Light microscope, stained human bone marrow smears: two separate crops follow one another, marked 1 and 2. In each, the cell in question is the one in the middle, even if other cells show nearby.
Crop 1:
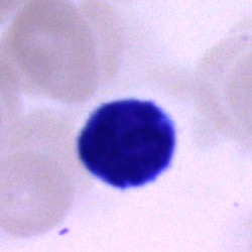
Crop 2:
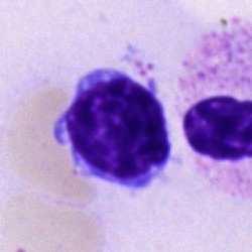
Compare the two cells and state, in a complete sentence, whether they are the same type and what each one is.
Yes, both crops show lymphocytes, one in each.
